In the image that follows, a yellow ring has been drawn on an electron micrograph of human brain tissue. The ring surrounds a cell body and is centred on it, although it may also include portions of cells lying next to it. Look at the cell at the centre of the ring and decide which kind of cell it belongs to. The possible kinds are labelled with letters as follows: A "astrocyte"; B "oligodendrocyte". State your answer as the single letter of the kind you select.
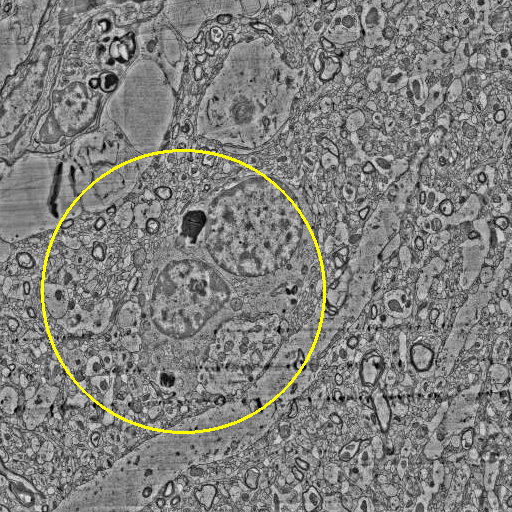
B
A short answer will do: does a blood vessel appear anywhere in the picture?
Yes, there is a blood vessel in the image.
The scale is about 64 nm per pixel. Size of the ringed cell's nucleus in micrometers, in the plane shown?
The nucleus is approximately 5 micrometers across in this plane.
